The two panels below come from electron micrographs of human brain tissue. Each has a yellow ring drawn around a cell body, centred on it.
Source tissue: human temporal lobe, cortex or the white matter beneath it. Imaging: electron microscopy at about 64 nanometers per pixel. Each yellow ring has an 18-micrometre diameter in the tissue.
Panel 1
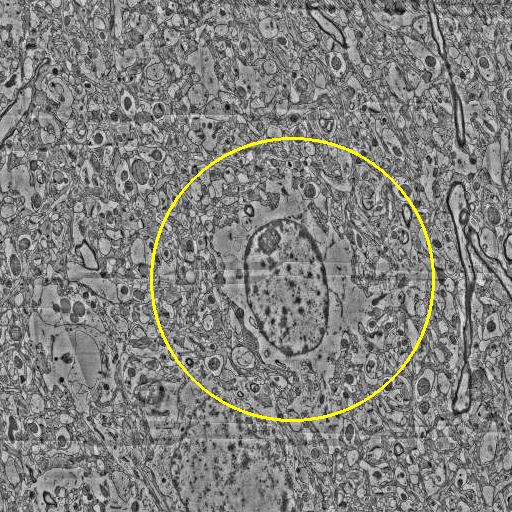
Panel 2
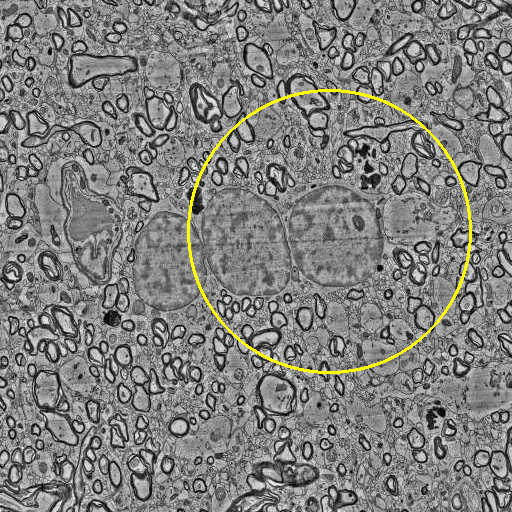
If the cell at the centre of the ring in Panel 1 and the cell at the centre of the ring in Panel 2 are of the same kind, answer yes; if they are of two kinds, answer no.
no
